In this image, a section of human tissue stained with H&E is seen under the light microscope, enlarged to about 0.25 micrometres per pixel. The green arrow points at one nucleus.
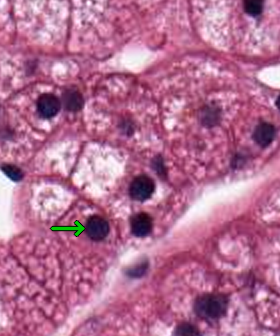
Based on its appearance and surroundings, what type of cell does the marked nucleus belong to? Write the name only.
adrenal cortical cell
